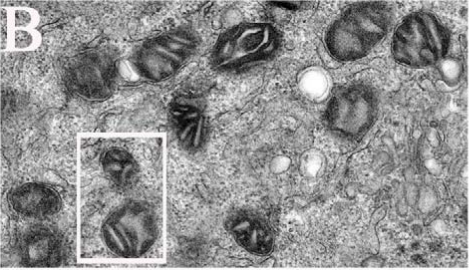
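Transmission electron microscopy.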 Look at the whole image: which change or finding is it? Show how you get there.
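Small spherical mitochondria with fewer and disarrayed cristae. Organelles are small and round rather than elongated. Only a few internal lamellae, running in irregular directions.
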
